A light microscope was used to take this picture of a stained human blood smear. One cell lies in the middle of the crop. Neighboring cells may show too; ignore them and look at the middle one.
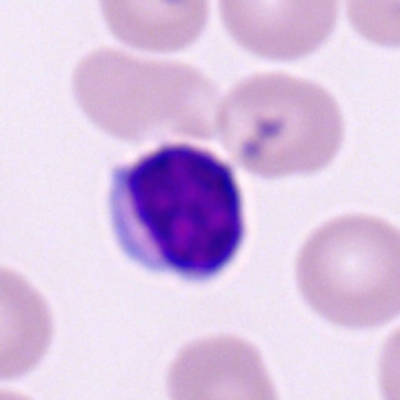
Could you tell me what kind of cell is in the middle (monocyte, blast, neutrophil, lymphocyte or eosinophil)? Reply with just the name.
lymphocyte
